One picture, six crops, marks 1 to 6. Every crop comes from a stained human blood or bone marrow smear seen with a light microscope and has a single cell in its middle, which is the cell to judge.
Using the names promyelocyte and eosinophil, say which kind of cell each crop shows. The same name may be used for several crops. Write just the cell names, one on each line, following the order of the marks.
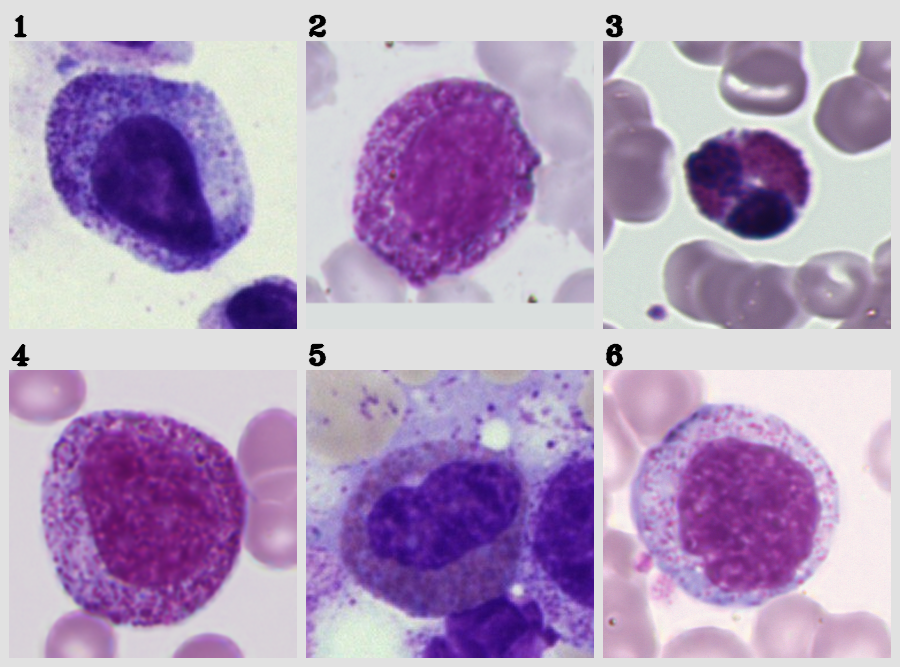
promyelocyte
promyelocyte
eosinophil
promyelocyte
eosinophil
promyelocyte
